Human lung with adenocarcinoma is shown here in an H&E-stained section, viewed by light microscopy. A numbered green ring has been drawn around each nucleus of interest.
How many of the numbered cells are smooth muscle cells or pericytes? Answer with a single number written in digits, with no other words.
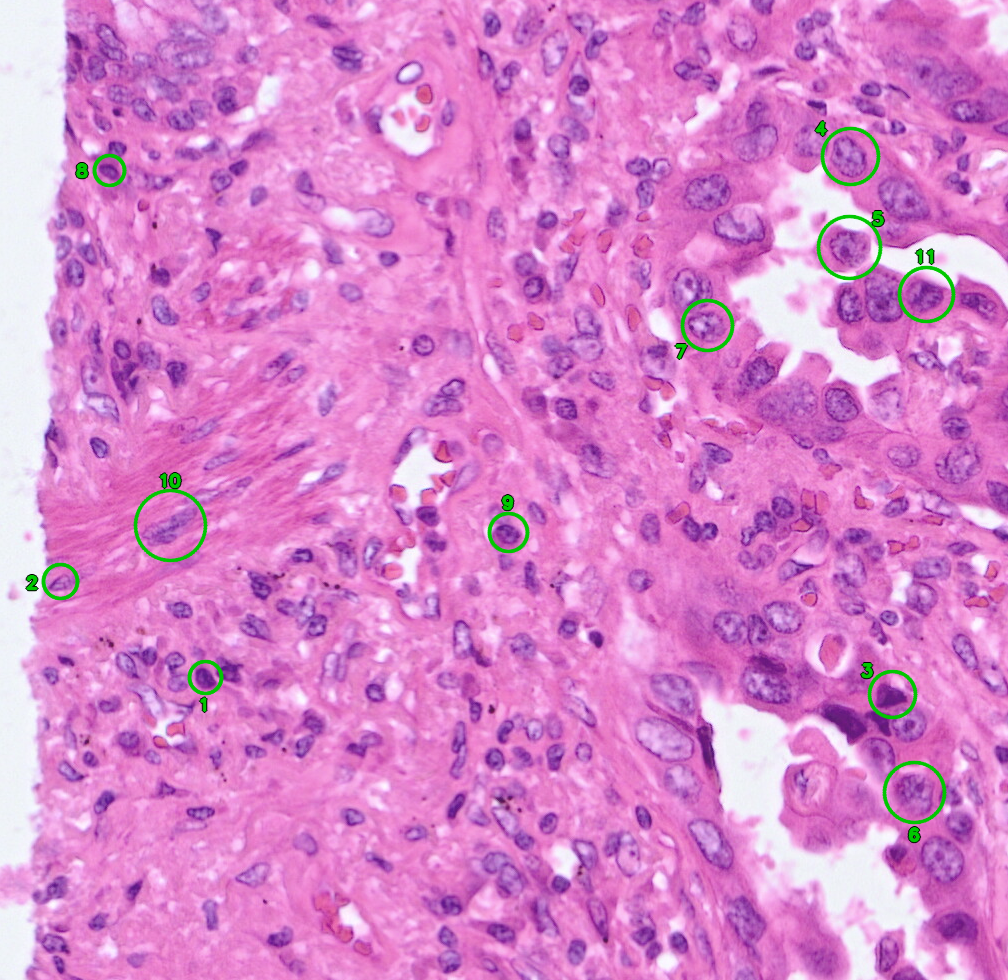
2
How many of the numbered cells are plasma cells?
3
